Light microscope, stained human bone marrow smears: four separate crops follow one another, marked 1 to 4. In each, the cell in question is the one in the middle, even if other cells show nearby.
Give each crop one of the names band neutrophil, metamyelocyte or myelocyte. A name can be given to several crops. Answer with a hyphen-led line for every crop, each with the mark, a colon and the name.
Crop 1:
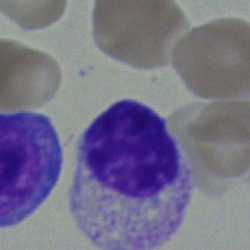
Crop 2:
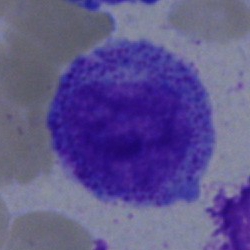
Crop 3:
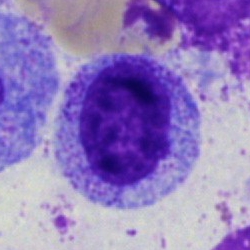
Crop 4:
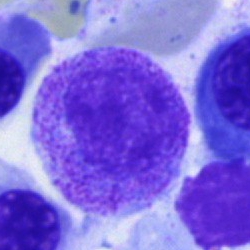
- 1: myelocyte
- 2: myelocyte
- 3: myelocyte
- 4: myelocyte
